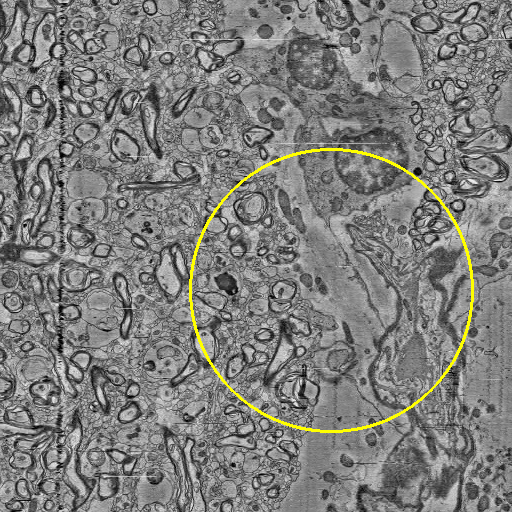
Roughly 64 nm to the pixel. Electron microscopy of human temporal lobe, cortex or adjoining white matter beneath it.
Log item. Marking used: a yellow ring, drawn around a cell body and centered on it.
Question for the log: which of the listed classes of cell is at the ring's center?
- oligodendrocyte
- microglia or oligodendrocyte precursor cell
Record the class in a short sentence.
At the center of the ring lies an oligodendrocyte.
